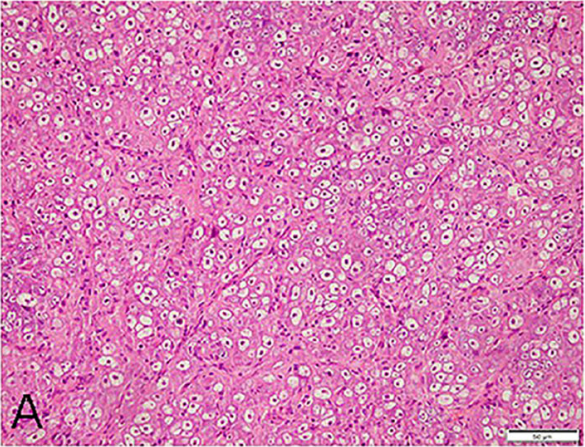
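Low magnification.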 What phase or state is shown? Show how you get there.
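Epithelioid. Thin pink fibrous strands divide the cells into groups.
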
